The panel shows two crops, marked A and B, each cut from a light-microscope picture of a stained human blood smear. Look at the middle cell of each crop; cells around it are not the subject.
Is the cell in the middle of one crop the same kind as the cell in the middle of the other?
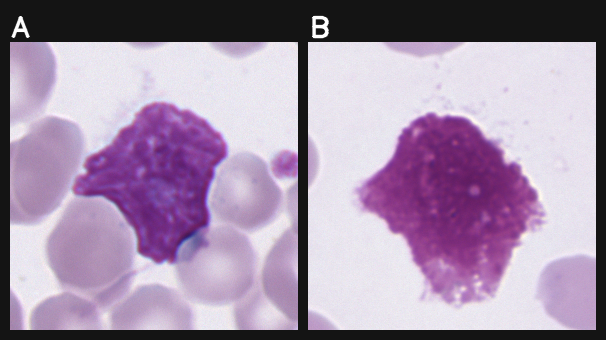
yes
